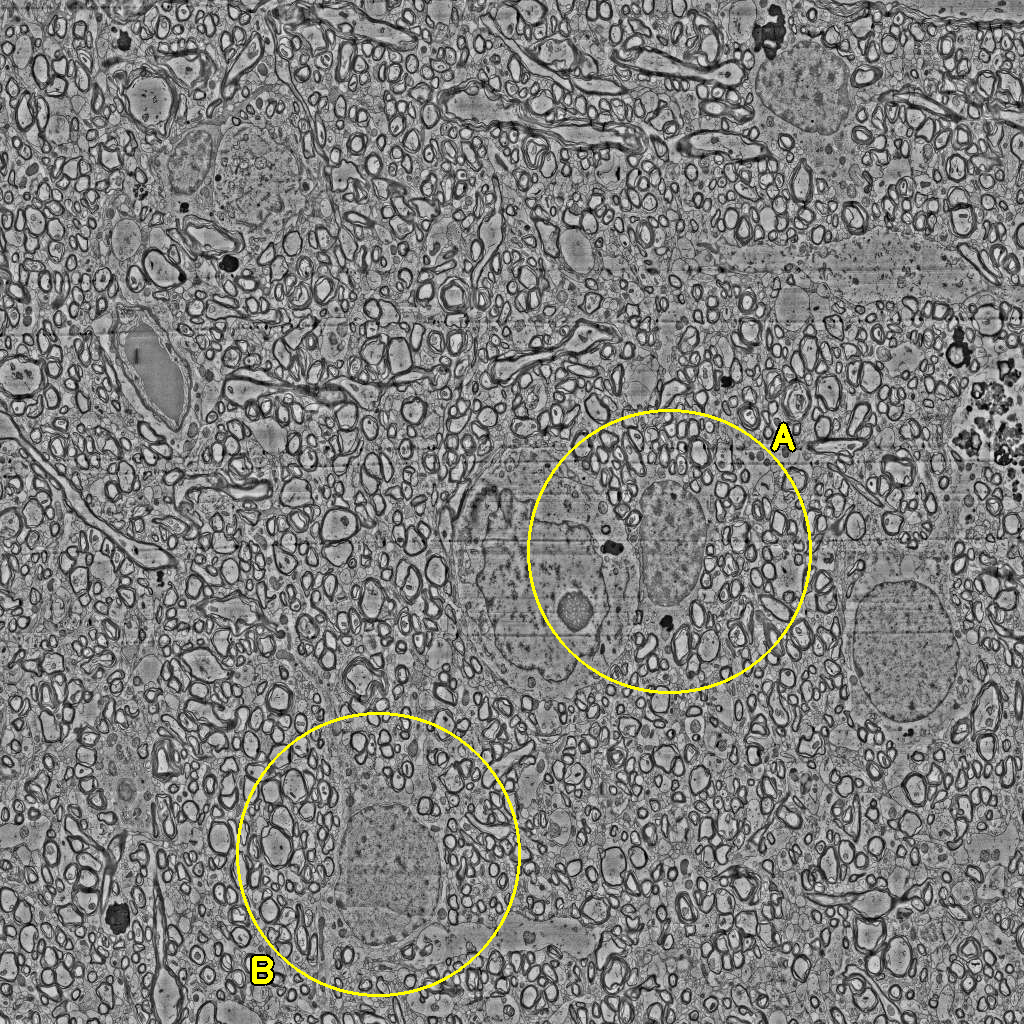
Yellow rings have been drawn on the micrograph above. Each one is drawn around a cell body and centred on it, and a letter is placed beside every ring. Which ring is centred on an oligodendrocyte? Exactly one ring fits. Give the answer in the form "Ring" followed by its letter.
Ring A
